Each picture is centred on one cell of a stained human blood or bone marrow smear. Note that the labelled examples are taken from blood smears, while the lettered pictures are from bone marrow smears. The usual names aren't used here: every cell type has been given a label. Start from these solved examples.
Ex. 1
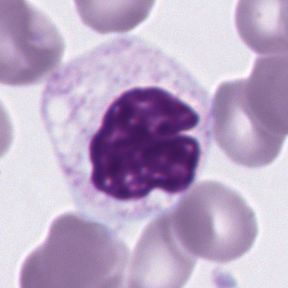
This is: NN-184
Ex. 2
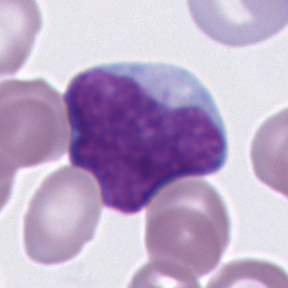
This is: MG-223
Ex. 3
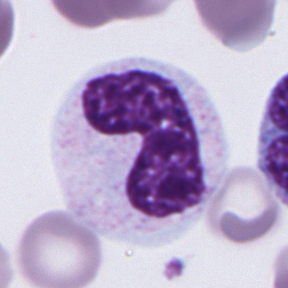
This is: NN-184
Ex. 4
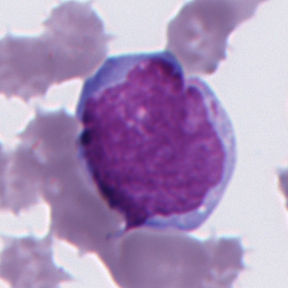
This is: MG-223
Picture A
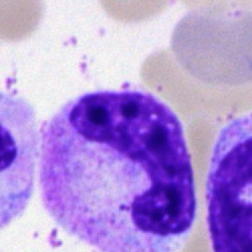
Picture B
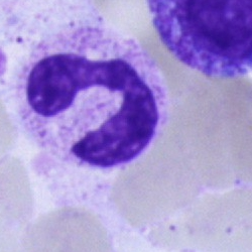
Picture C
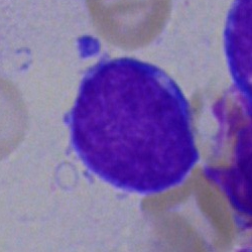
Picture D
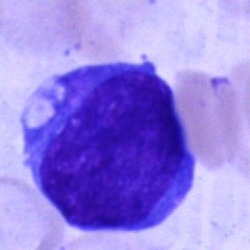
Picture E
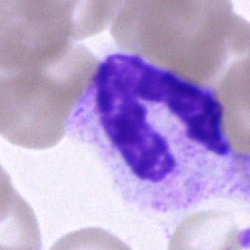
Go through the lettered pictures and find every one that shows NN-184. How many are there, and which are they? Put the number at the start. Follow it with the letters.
3: A, B, E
